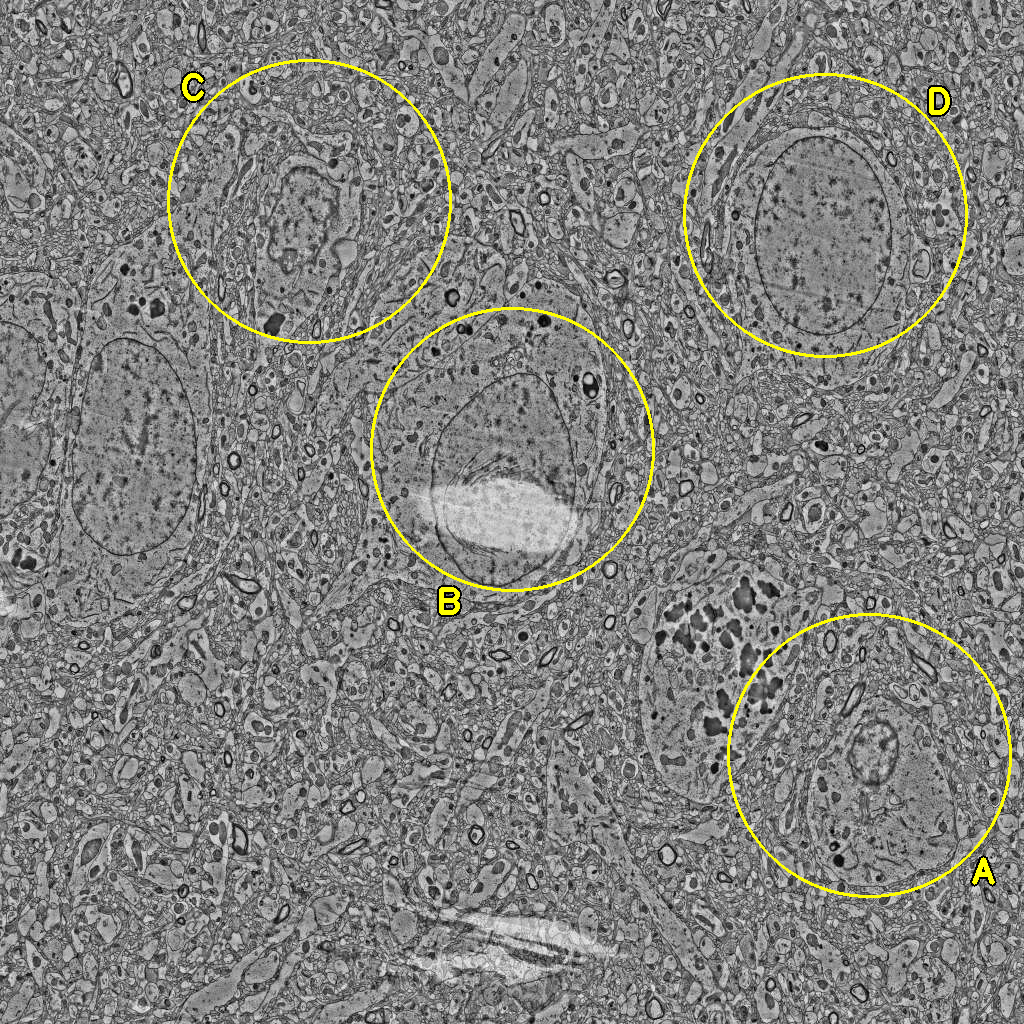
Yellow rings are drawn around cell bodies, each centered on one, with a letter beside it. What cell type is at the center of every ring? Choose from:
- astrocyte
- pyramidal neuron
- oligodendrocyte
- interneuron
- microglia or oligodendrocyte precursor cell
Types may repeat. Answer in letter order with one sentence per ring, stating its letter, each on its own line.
The cell at the center of ring A is a pyramidal neuron.
The cell at the center of ring B is a pyramidal neuron.
The cell at the center of ring C is an interneuron.
The cell at the center of ring D is a pyramidal neuron.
